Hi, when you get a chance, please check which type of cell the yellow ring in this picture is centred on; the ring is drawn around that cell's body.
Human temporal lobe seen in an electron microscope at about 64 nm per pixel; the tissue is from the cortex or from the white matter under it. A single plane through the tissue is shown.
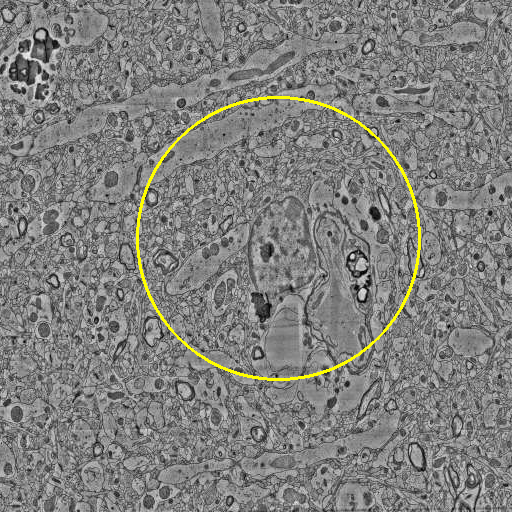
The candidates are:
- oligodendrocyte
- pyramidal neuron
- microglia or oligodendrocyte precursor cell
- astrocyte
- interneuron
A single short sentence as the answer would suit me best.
The ring is drawn around the body of an oligodendrocyte.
